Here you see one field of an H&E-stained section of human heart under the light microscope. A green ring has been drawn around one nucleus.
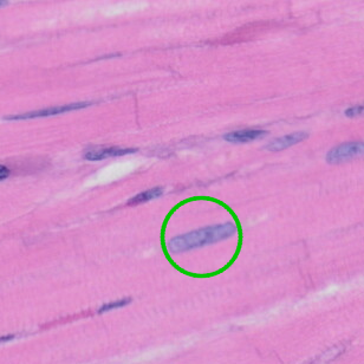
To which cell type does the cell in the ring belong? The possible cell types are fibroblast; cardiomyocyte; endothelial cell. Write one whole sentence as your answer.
The cell in the ring is a cardiomyocyte.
